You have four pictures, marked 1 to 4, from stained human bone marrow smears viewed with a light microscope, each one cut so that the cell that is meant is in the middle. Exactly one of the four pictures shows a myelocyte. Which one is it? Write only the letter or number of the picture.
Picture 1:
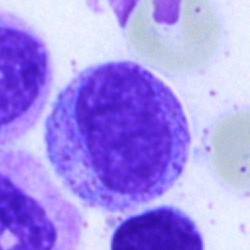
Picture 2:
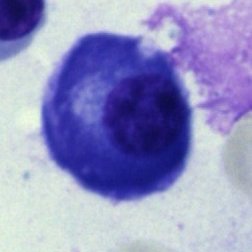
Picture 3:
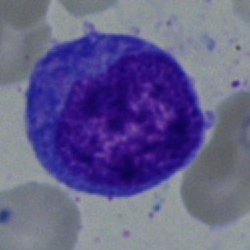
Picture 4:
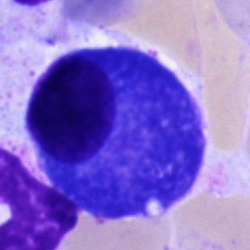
1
